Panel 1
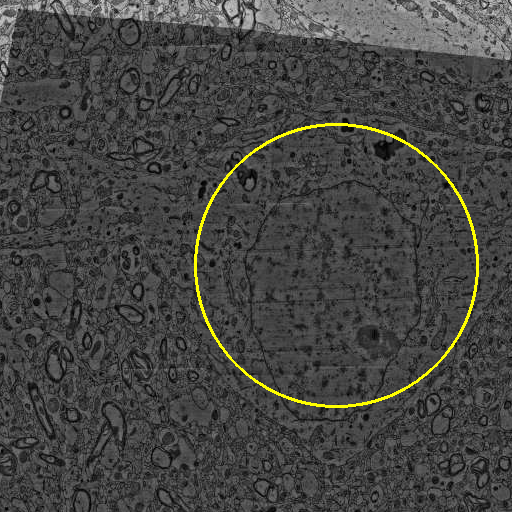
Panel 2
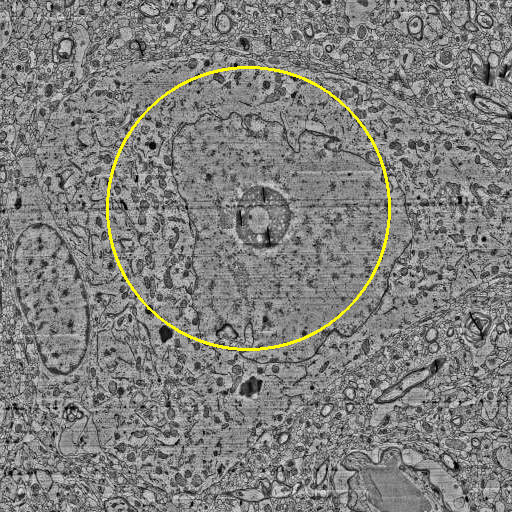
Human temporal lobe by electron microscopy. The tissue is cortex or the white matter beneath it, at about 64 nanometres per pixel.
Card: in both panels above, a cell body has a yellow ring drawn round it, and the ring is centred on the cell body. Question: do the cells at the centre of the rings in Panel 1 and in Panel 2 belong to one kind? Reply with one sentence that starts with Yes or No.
Yes, the cells centred in the rings of Panel 1 and Panel 2 are one kind of cell.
